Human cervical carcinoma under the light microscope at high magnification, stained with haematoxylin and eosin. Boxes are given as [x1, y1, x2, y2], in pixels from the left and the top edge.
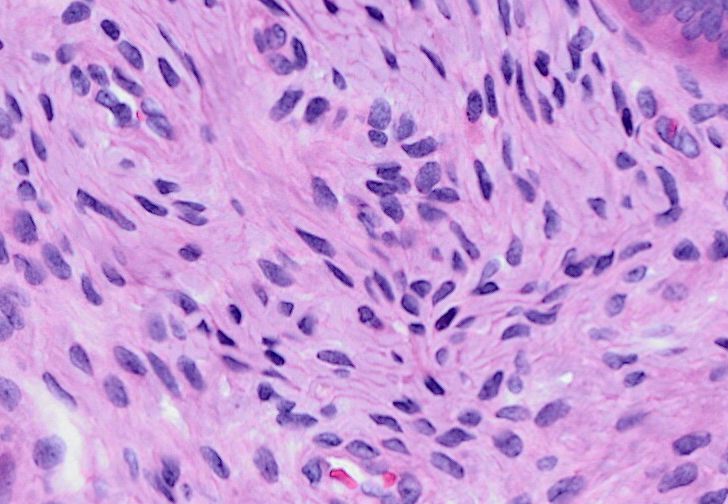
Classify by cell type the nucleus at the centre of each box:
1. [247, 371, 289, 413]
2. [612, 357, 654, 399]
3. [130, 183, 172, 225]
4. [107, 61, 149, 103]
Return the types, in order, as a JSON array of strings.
["fibroblast", "fibroblast", "fibroblast", "endothelial cell"]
